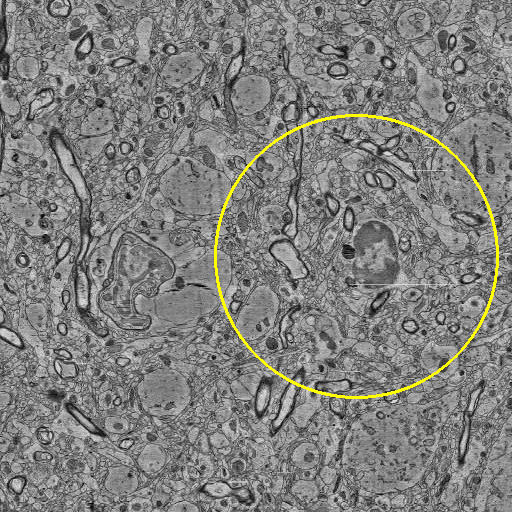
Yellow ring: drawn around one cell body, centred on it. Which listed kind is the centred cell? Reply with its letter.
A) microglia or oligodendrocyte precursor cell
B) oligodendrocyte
A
